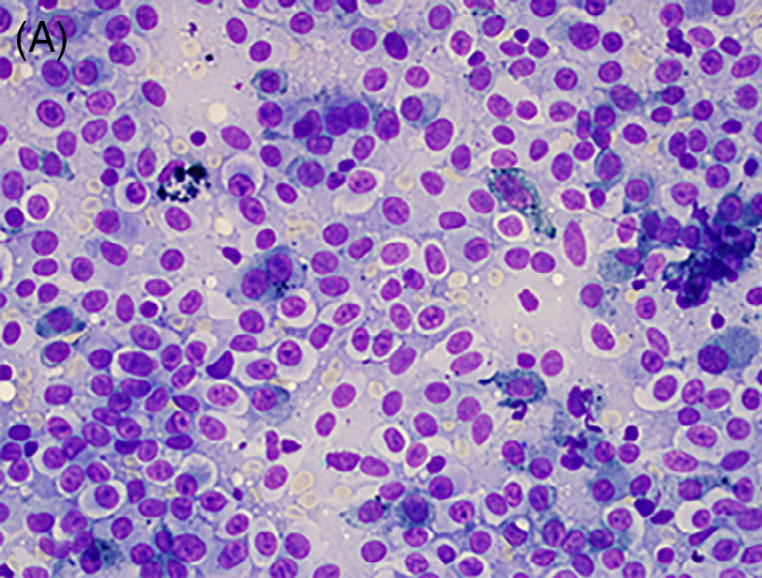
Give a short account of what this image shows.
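Cytologic smear of malignant melanoma showing numerous dispersed single cells rather than cohesive groups. Nuclei are round to oval, purple, with fine chromatin, many placed eccentrically, giving a plasmacytoid look. Cytoplasm is moderate in amount, pale grey-blue, and some cells show a clear halo around the nucleus. Occasional cells carry coarse dark blue-black granular pigment in their cytoplasm. Scattered small clumps of darker, more crowded cells and pale background material are present, along with small round pale red cells between the tumour cells.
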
